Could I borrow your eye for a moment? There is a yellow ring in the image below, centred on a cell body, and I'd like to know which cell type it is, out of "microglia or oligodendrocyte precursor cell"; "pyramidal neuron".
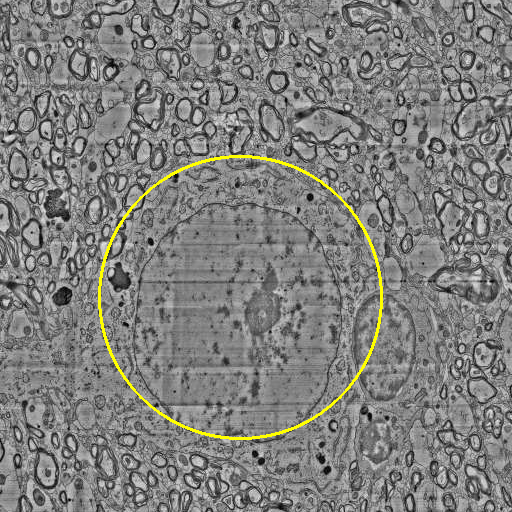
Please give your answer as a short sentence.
The cell body at the centre is that of a pyramidal neuron.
